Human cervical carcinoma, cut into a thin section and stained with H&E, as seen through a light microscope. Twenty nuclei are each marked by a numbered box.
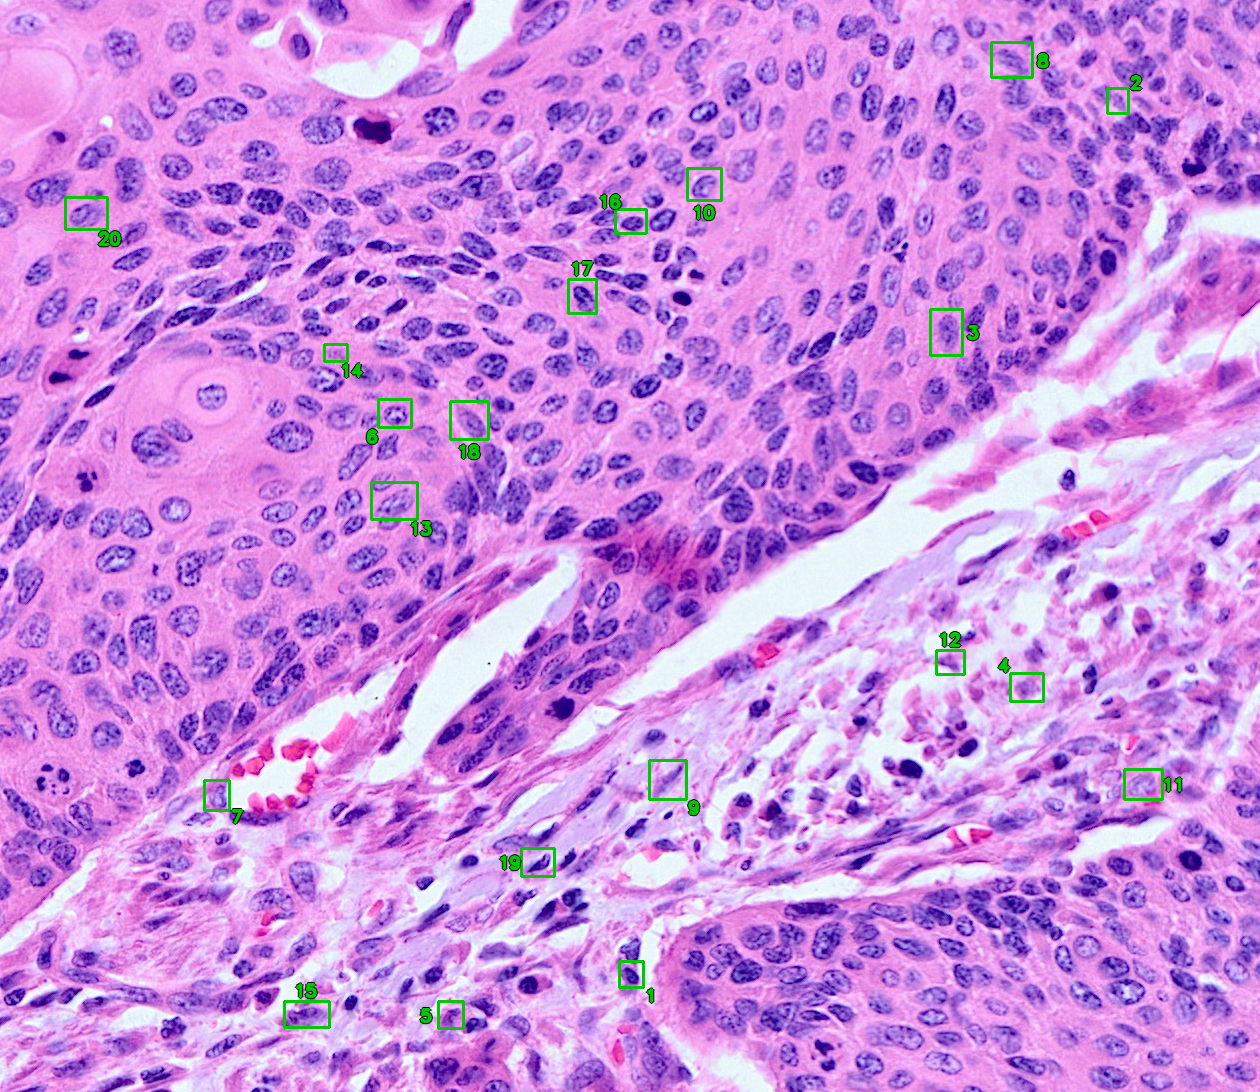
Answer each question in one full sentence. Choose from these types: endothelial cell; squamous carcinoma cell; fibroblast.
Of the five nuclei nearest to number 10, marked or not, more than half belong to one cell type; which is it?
Of the five nuclei nearest to number 10, most belong to squamous carcinoma cells.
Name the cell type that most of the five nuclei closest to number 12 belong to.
Fibroblasts make up most of the five nuclei closest to number 12.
